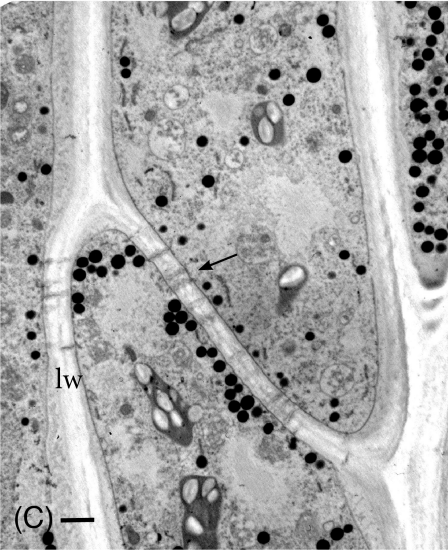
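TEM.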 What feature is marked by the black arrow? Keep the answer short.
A: Oblique end walls.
